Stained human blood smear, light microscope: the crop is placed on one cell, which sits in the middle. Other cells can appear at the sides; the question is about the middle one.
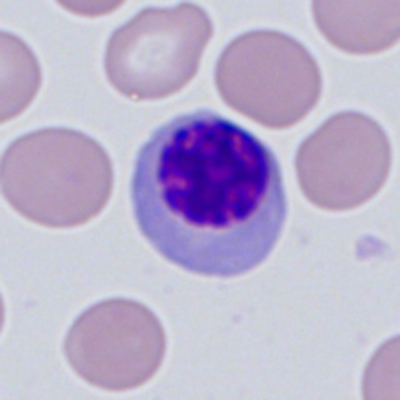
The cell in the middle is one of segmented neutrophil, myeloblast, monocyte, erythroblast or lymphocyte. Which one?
erythroblast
